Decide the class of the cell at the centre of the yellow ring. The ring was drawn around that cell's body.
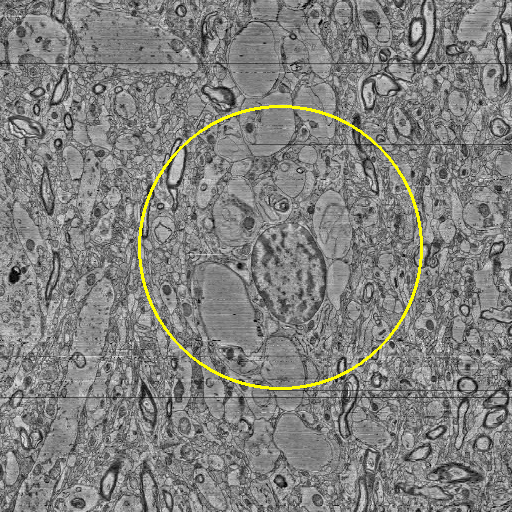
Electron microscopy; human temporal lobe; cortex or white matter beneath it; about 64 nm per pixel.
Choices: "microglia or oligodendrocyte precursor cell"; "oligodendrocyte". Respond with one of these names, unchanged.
microglia or oligodendrocyte precursor cell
